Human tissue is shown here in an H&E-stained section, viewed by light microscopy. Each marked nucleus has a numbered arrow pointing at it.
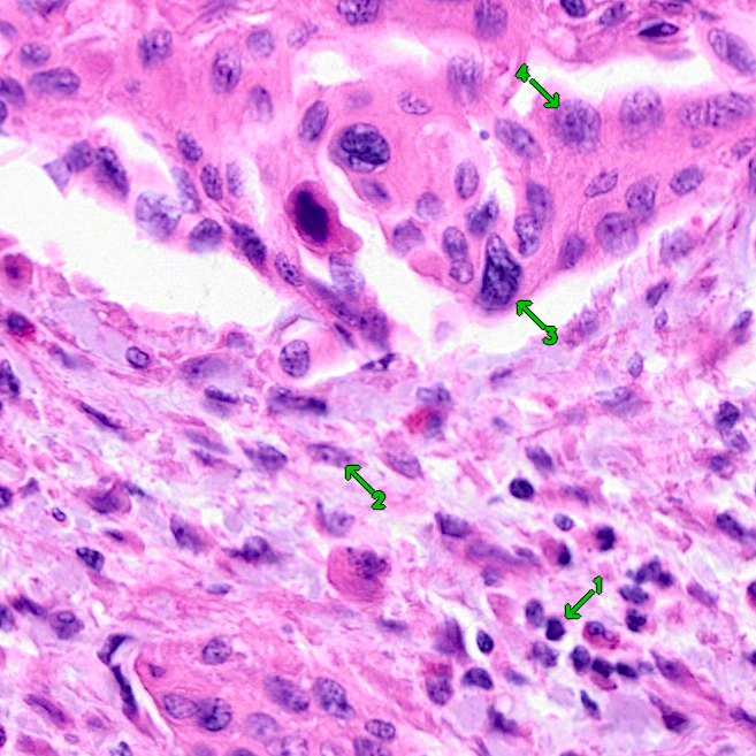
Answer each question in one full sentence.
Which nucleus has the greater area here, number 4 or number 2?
Nucleus 4 covers more area, about 2.5 times as much as nucleus 2.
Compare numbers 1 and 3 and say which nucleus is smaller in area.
Number 1 is smaller, since number 3 takes up about 4 times as much area.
